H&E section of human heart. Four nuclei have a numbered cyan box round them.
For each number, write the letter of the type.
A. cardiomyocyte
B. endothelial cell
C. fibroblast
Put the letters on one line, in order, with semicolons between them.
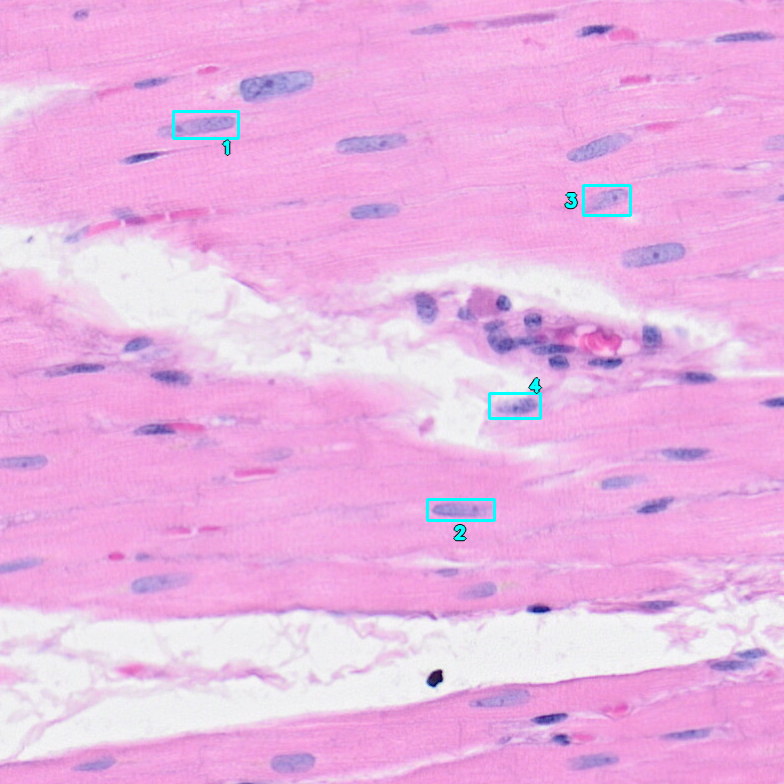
A; A; A; C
